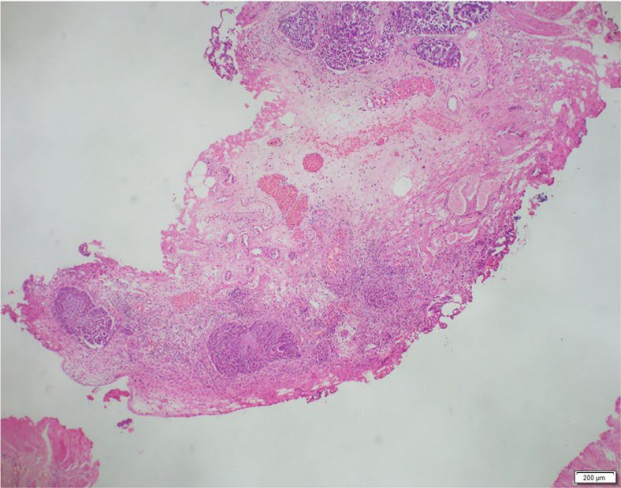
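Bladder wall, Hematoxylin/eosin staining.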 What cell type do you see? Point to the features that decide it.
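Rounded nests of densely packed cells with dark purple nuclei. The nests lie within loose, pale pink stroma. That points to this answer: tumor cells.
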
